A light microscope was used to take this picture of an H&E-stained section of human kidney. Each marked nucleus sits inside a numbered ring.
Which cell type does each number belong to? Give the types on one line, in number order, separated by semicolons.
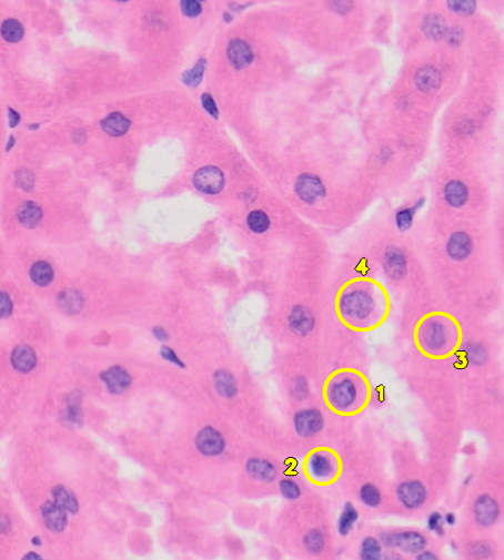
proximal tubule cell; endothelial cell; proximal tubule cell; proximal tubule cell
